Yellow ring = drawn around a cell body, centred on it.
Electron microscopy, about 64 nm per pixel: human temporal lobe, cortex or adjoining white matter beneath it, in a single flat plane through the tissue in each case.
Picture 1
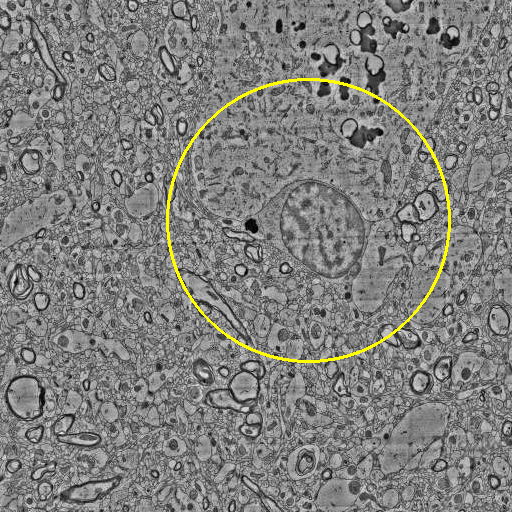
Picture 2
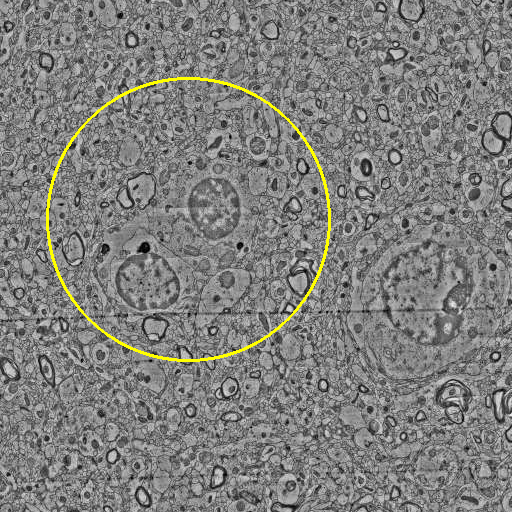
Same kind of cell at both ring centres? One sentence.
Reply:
Yes, they are the same kind of cell.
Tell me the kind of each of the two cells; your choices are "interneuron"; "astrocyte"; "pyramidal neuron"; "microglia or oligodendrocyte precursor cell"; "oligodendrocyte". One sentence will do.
The ring centre holds an oligodendrocyte in each of the two pictures.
